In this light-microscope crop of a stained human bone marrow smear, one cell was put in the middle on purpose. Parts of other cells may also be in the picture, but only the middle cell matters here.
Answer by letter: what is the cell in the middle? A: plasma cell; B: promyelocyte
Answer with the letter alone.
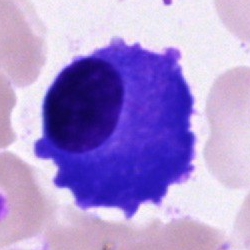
A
